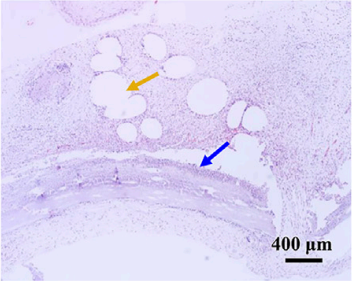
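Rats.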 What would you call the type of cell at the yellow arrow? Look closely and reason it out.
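Group of large round empty-looking spaces with thin walls. Spaces clustered together within cellular tissue. So: adipocyte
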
